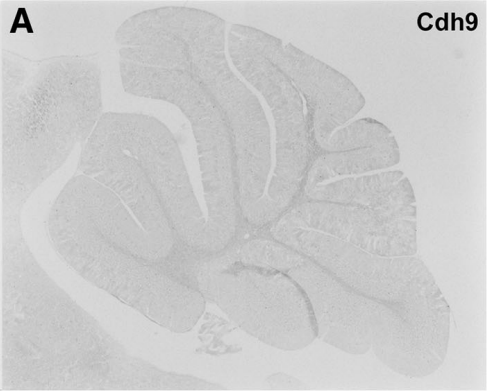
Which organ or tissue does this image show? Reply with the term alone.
cerebellum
